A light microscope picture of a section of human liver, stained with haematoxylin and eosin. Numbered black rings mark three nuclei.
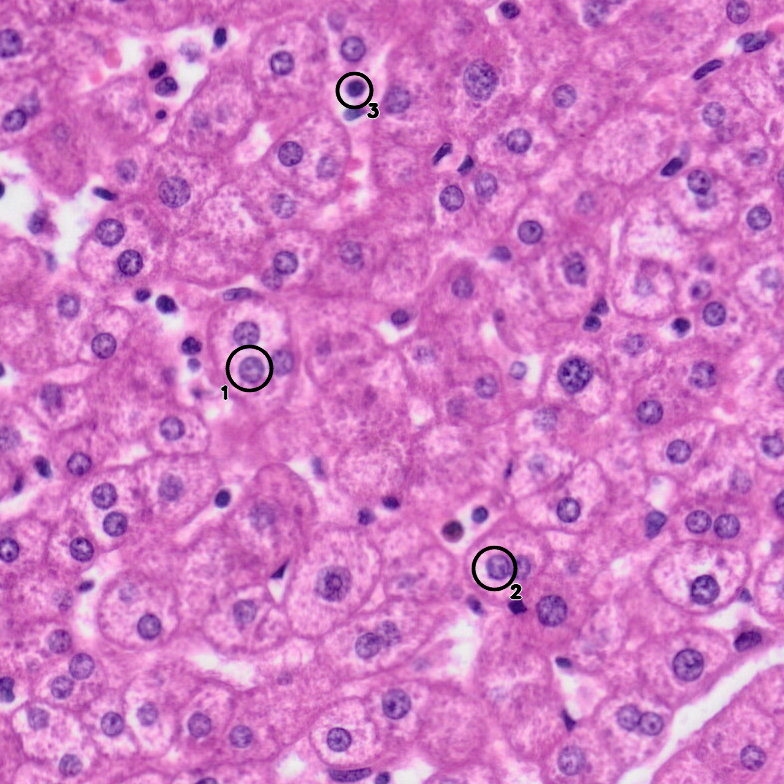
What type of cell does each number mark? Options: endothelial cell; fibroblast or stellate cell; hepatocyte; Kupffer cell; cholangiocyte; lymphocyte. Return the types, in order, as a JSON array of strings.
["hepatocyte", "hepatocyte", "lymphocyte"]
